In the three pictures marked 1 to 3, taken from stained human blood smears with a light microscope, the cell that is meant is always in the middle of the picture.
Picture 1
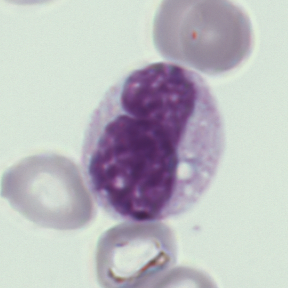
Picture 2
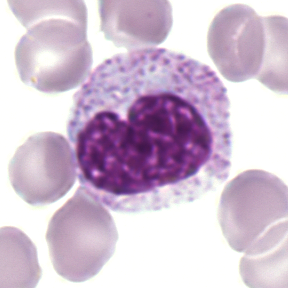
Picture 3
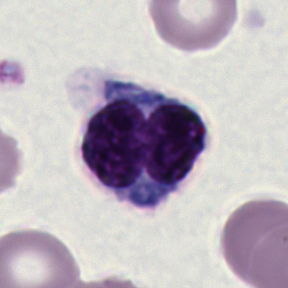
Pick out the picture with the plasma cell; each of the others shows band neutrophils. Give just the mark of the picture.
3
